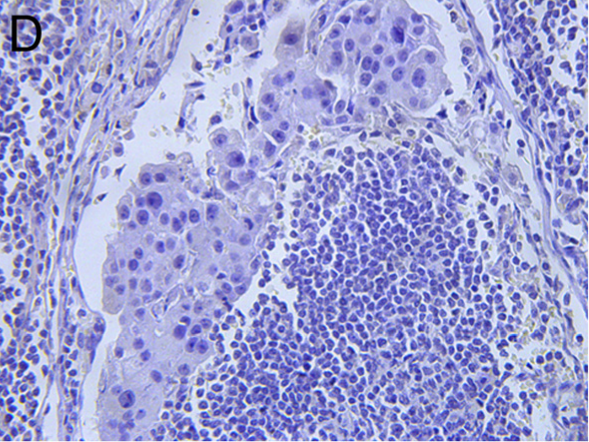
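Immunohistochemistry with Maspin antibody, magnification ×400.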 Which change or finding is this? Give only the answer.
Lymph node metastasis.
